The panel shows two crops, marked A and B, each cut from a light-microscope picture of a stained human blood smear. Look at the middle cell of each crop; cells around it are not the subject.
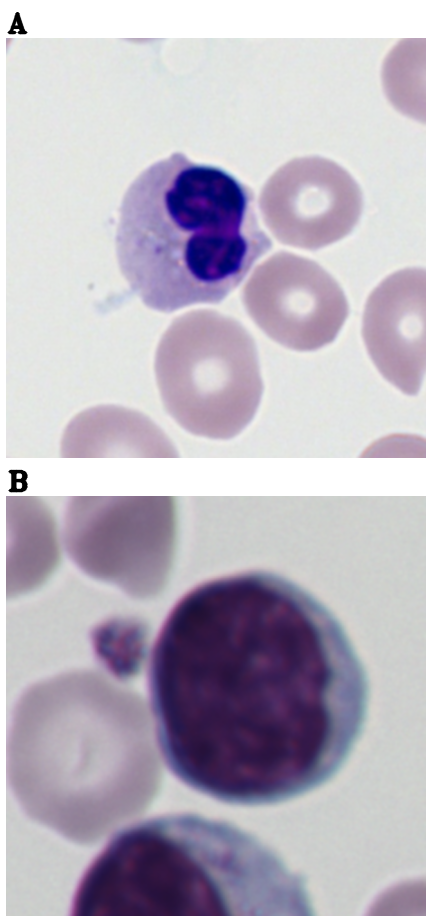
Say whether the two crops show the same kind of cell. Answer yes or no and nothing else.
no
